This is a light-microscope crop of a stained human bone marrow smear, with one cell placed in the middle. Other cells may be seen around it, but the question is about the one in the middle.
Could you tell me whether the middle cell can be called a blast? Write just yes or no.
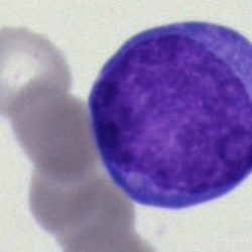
yes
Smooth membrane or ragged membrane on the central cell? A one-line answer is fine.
If you check the edge, you will find it smooth without projections.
